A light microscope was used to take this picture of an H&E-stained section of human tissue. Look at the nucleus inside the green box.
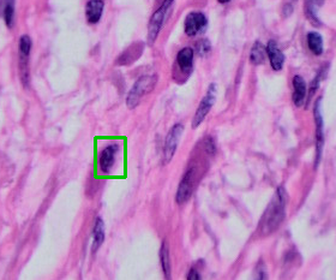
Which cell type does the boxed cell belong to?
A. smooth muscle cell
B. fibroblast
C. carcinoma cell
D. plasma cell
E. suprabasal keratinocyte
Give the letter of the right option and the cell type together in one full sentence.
Option D is the right choice, for the boxed cell is a plasma cell.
